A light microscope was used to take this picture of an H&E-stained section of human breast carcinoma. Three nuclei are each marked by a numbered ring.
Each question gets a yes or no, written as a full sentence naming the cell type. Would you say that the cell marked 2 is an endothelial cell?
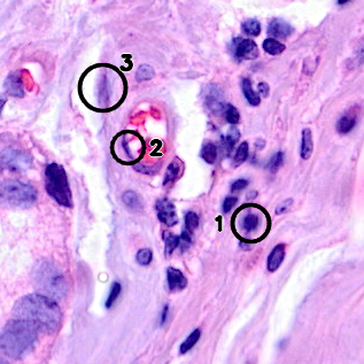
Yes, and to answer plainly, cell 2 is an endothelial cell.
